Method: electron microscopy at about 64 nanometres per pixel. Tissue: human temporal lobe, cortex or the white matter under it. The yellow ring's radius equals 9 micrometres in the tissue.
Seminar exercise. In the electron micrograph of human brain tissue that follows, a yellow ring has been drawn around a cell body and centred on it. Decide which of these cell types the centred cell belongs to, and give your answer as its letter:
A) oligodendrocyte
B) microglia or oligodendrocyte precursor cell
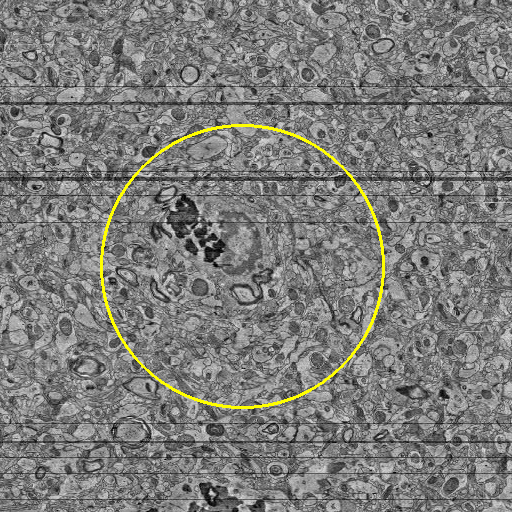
A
